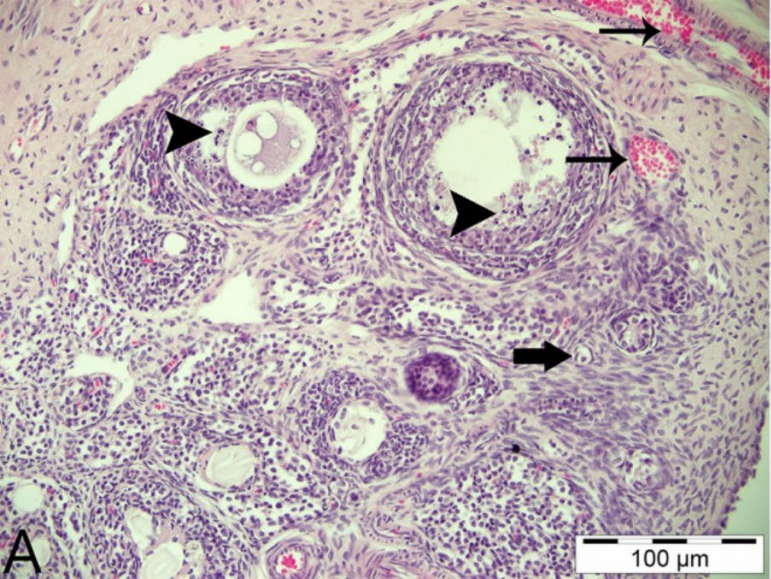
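Ovarian cortex with several growing and antral follicles set in a spindle-cell stroma, stained pink and purple. The larger follicles have a central cavity lined by multiple layers of small granulosa cells with dark purple nuclei, enclosed by concentric flattened theca cells; some cavities contain pale debris and vacuoles. Small follicles lie scattered in the stroma, and several vessels are distended and packed with bright red blood cells. Some granulosa layers look disorganised, with loosened and fragmented cells.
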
